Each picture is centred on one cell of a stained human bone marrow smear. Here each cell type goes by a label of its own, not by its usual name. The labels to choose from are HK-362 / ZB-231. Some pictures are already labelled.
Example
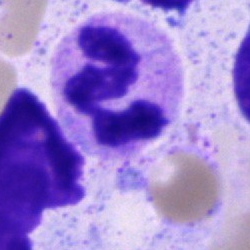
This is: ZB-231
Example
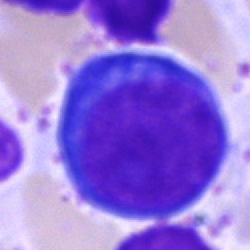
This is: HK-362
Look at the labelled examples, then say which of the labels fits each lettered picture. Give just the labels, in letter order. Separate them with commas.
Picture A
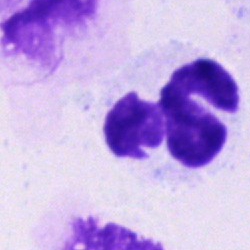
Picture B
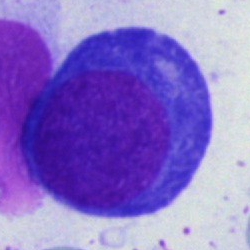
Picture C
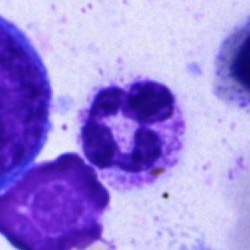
ZB-231, HK-362, ZB-231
